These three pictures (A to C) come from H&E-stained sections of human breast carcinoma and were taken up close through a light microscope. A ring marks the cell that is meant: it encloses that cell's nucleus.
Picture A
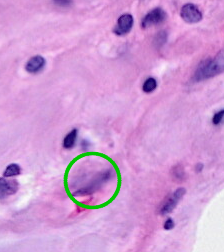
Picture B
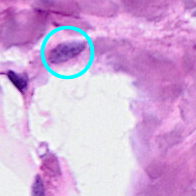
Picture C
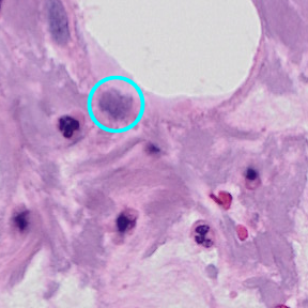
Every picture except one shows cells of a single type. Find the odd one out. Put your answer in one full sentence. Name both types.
All pictures except A show fibroblasts; picture A shows an endothelial cell.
